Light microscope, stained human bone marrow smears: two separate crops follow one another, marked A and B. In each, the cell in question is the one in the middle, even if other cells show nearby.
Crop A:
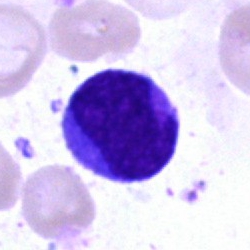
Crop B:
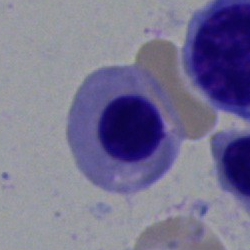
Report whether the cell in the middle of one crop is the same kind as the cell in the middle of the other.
no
